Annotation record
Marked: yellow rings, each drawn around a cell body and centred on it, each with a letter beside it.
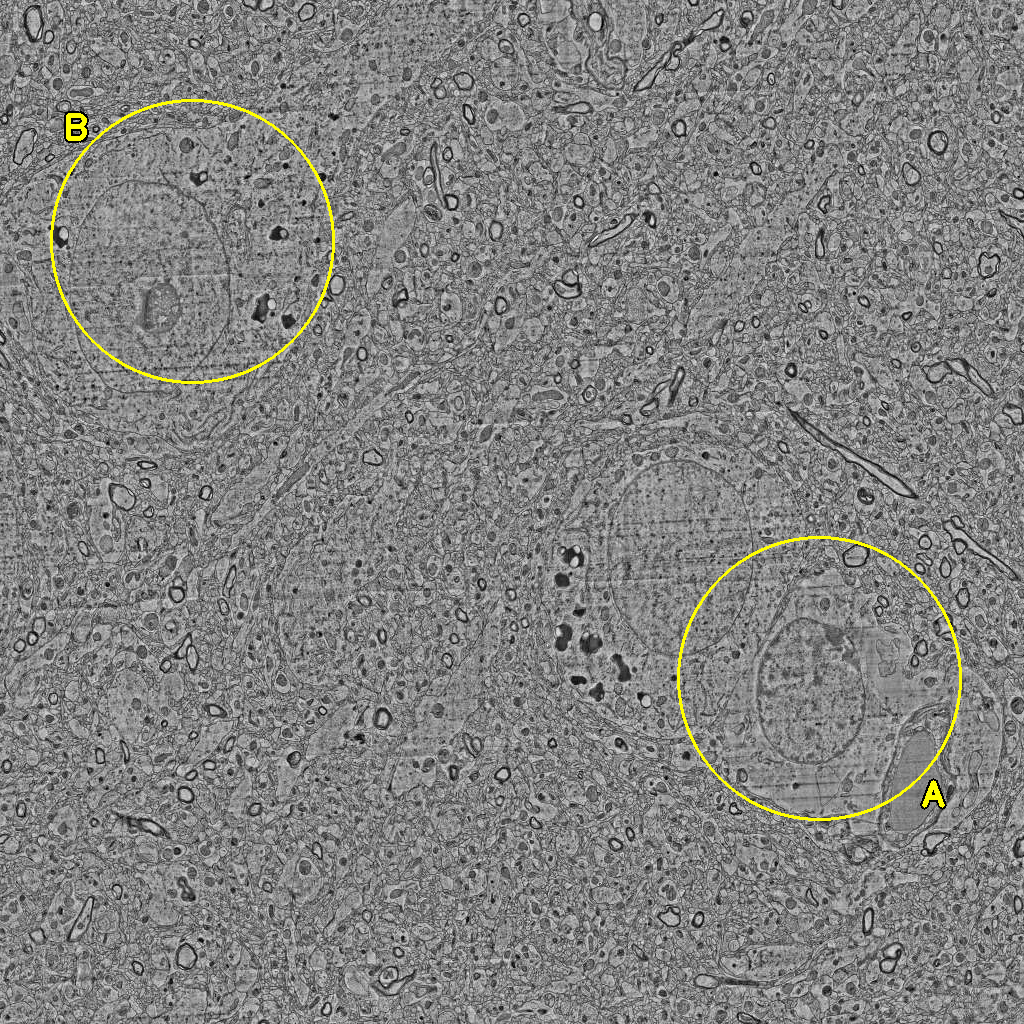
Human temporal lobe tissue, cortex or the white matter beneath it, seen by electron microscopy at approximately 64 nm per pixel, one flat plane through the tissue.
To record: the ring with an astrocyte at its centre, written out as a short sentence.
The ring centred on it is ring A.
